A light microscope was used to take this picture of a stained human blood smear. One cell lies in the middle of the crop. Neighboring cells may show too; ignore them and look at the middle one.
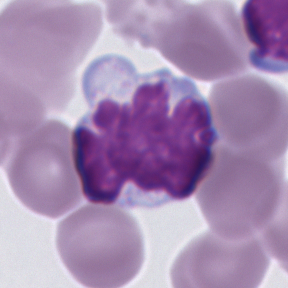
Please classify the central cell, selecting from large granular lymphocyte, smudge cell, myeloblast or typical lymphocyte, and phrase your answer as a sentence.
On this slide crop, the central cell is a large granular lymphocyte.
